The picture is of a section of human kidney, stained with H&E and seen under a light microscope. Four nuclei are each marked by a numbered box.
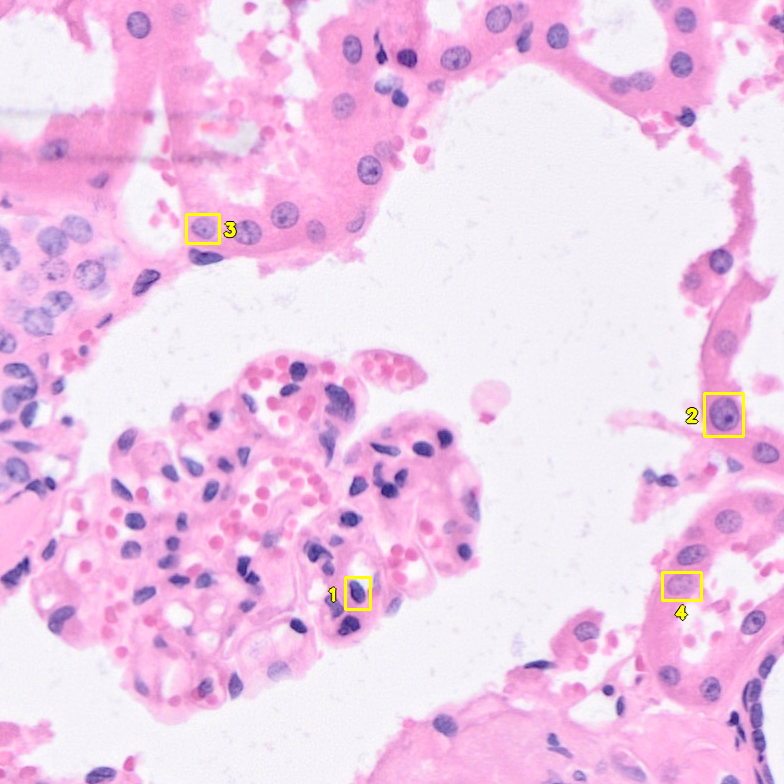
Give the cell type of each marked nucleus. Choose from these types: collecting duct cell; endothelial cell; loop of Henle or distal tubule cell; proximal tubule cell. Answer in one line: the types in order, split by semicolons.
endothelial cell; proximal tubule cell; proximal tubule cell; proximal tubule cell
